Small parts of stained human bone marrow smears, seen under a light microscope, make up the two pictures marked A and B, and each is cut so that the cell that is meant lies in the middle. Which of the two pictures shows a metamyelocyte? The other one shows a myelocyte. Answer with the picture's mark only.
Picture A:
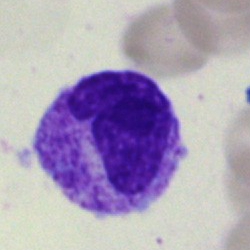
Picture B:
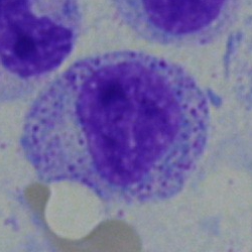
A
